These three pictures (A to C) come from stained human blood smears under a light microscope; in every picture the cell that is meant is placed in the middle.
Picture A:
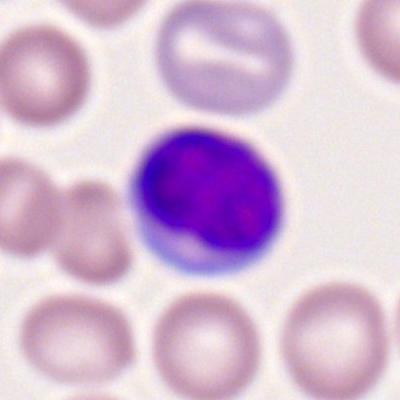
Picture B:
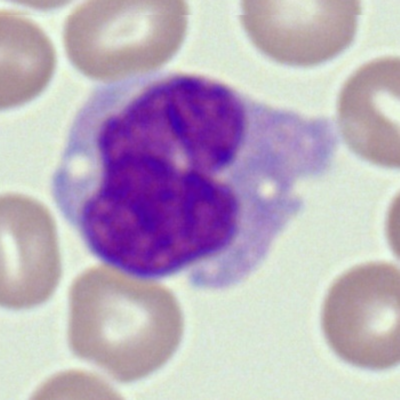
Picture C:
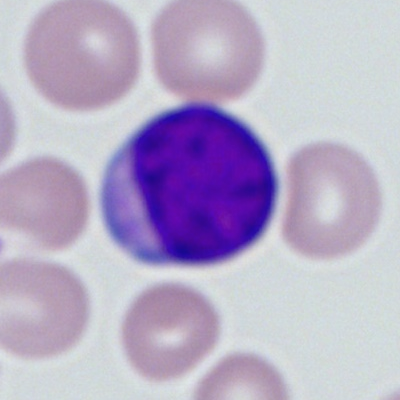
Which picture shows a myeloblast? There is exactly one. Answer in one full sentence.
Picture C shows the myeloblast.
